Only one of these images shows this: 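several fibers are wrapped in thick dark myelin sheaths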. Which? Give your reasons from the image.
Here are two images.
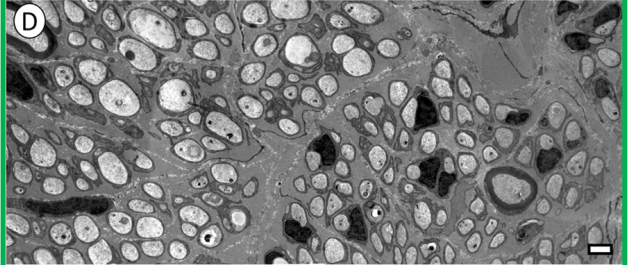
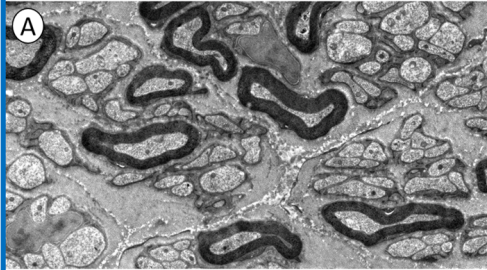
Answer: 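The second image. First image: only one profile shows a dark ring around a pale central axon. Second image: several elongated profiles have thick dark rings around pale central axons.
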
